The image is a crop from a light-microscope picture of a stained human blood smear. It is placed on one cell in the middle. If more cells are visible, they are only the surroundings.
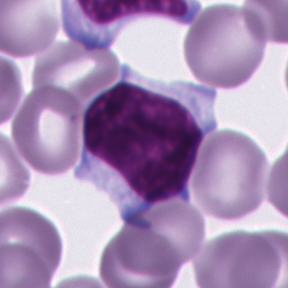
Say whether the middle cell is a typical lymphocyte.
yes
